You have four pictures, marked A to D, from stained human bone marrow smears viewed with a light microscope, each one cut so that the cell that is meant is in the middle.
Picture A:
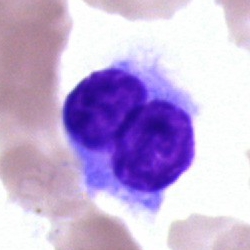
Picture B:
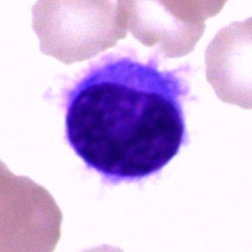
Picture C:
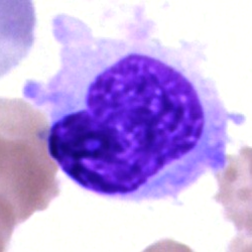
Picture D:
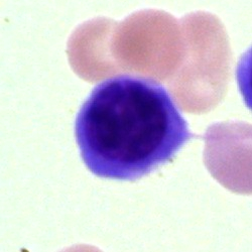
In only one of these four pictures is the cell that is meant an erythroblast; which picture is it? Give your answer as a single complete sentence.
The picture with the erythroblast is D.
